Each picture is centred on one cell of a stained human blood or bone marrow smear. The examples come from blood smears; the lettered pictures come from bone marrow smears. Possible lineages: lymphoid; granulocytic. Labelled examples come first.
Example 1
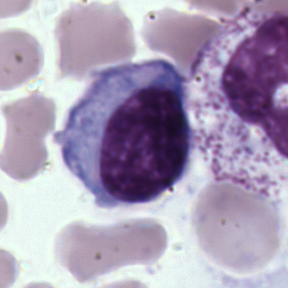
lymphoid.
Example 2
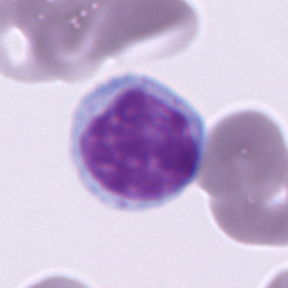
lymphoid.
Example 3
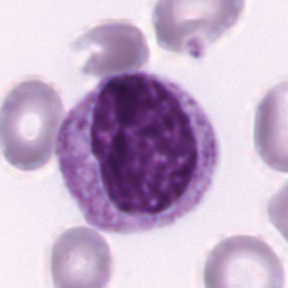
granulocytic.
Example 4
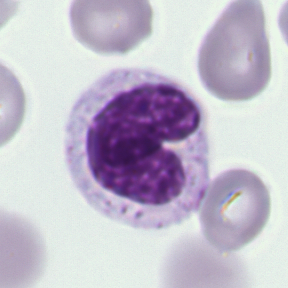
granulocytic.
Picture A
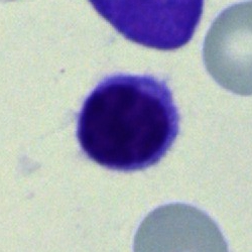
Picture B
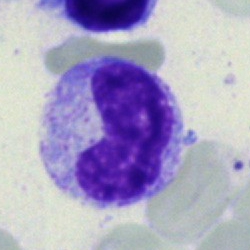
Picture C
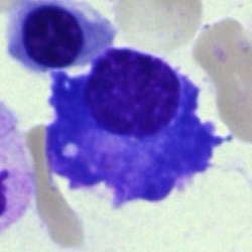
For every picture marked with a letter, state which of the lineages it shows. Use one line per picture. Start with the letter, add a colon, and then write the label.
A: lymphoid.
B: granulocytic.
C: lymphoid.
